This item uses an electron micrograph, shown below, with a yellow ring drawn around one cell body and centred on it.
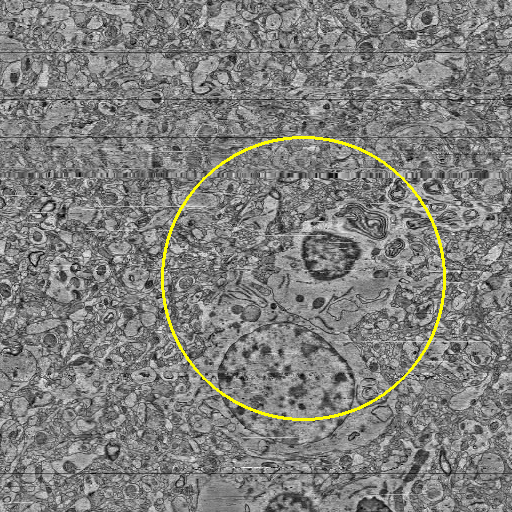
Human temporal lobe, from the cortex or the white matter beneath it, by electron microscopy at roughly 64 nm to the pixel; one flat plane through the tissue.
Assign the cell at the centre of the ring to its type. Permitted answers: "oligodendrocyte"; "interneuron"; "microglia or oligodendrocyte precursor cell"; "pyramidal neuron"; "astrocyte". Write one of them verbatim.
astrocyte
